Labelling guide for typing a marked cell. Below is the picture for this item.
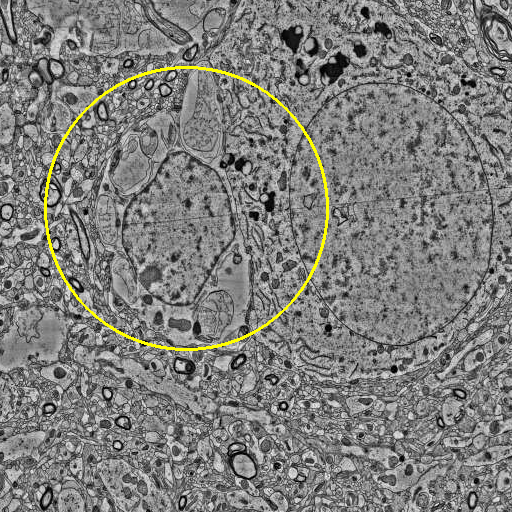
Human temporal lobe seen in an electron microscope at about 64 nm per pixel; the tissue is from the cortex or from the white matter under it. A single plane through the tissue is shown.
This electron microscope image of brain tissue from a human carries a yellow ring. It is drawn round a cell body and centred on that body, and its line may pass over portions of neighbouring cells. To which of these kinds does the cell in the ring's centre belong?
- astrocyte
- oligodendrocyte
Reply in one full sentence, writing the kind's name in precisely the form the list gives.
Here we have an astrocyte at the centre of the yellow ring in the picture.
